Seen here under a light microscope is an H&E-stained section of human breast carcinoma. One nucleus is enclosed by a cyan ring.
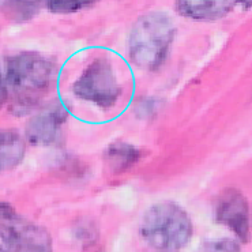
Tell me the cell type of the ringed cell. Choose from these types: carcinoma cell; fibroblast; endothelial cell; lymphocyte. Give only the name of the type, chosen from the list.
carcinoma cell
